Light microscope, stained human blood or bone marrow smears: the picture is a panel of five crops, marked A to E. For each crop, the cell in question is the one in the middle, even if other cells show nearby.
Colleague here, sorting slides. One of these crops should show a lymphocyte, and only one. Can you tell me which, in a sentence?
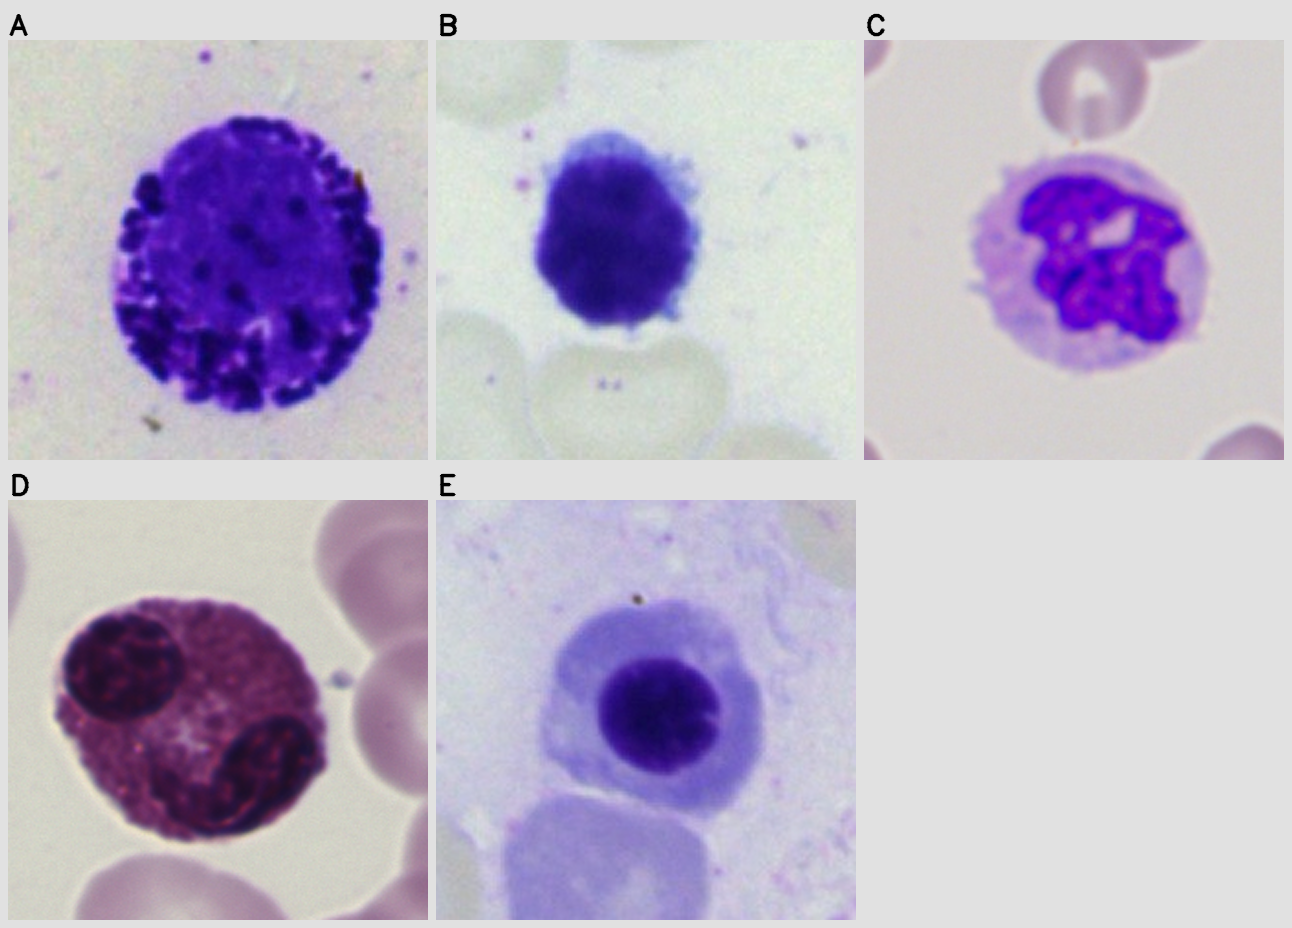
Crop B is the crop whose central cell is a lymphocyte.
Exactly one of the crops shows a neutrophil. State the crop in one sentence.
The one crop that shows a neutrophil is crop C.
